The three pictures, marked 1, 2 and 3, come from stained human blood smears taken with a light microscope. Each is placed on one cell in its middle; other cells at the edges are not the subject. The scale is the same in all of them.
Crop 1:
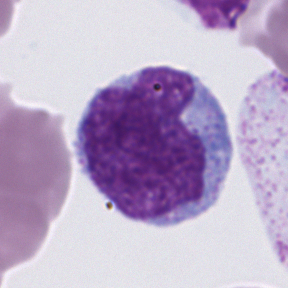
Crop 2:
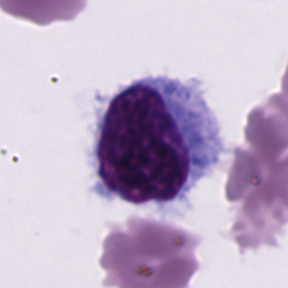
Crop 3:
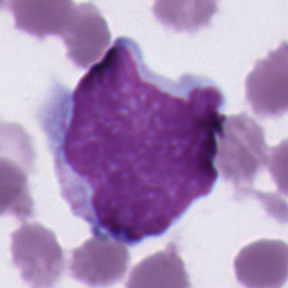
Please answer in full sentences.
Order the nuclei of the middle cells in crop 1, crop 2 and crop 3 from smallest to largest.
The order is 2, 1, 3, beginning with the smallest.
